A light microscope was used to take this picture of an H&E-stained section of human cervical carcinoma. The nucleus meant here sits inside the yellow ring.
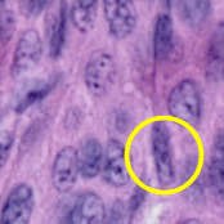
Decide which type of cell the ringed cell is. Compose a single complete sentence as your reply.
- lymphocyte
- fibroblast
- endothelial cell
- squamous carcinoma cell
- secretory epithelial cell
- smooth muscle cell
In cellular terms, the ringed cell is a squamous carcinoma cell.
